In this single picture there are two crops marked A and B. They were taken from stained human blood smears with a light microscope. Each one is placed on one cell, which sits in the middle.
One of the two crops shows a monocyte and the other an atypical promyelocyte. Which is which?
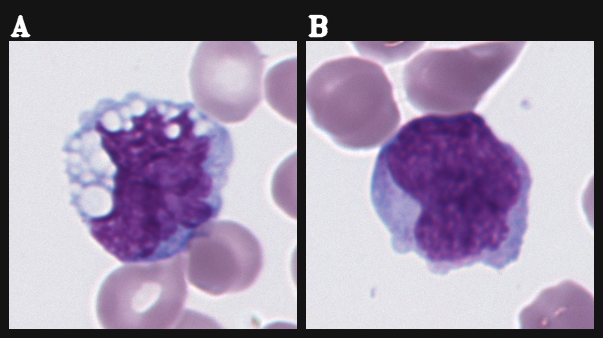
A: monocyte
B: atypical promyelocyte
